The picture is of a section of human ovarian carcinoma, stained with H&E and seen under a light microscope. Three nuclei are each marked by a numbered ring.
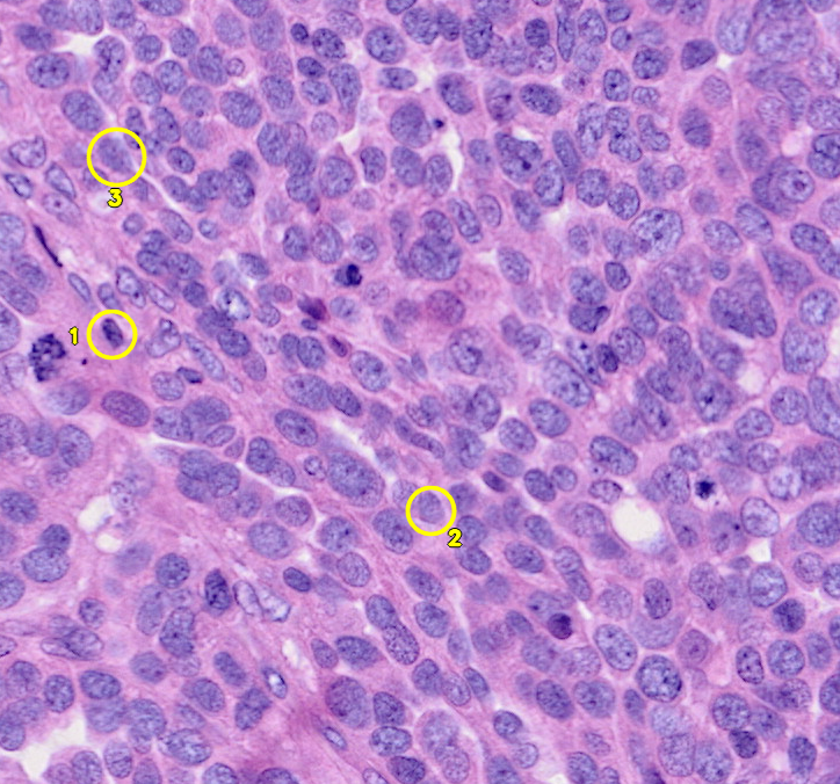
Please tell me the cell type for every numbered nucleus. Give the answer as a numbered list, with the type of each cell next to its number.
1. lymphocyte
2. carcinoma cell
3. carcinoma cell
